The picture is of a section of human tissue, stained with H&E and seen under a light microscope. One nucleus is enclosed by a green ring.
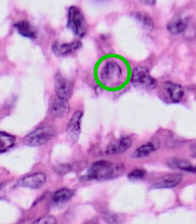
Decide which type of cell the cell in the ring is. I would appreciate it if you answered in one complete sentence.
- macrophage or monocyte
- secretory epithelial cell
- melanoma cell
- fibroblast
In short, the cell in the ring on this section is a melanoma cell.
